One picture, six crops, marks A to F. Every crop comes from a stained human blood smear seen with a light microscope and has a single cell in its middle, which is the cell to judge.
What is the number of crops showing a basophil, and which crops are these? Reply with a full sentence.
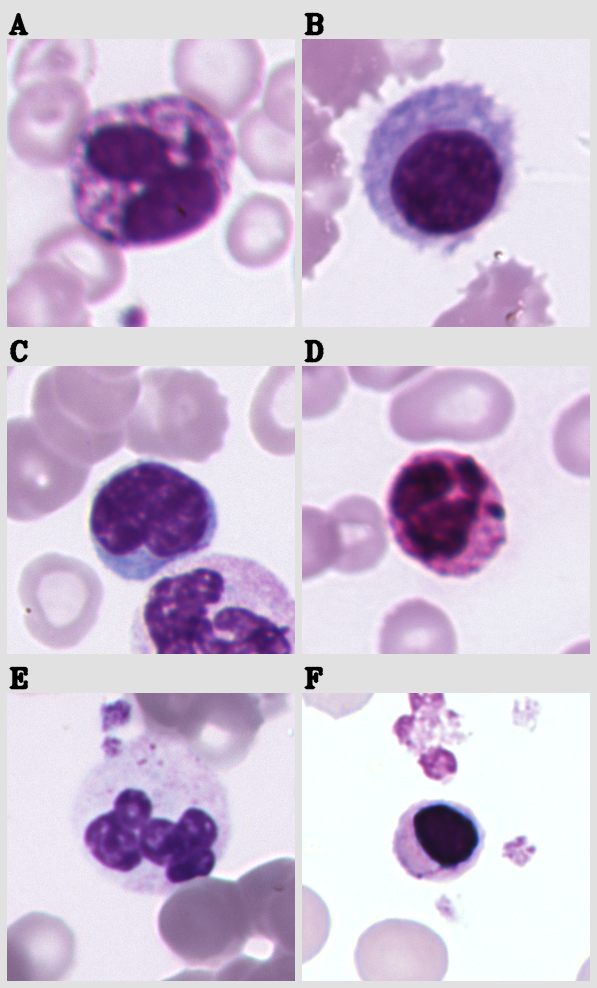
Seen in two crops, A and D, are basophils.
